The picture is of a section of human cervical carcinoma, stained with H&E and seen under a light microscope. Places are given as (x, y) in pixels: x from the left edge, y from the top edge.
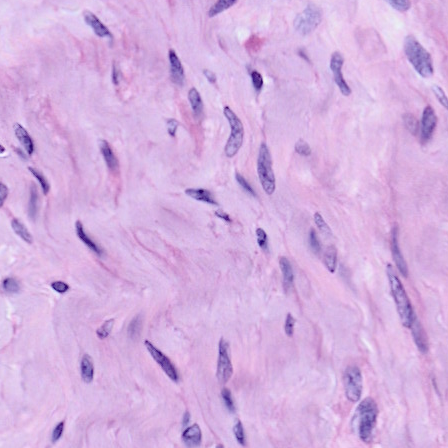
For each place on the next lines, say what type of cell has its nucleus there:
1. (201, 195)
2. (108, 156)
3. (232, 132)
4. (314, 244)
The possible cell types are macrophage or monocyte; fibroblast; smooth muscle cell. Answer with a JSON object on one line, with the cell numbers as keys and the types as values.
{"1": "fibroblast", "2": "smooth muscle cell", "3": "fibroblast", "4": "fibroblast"}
